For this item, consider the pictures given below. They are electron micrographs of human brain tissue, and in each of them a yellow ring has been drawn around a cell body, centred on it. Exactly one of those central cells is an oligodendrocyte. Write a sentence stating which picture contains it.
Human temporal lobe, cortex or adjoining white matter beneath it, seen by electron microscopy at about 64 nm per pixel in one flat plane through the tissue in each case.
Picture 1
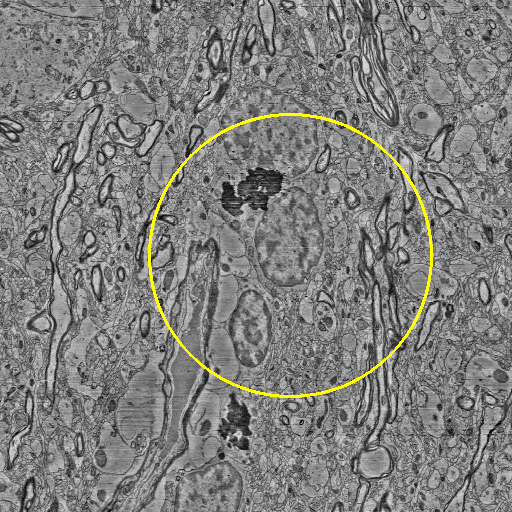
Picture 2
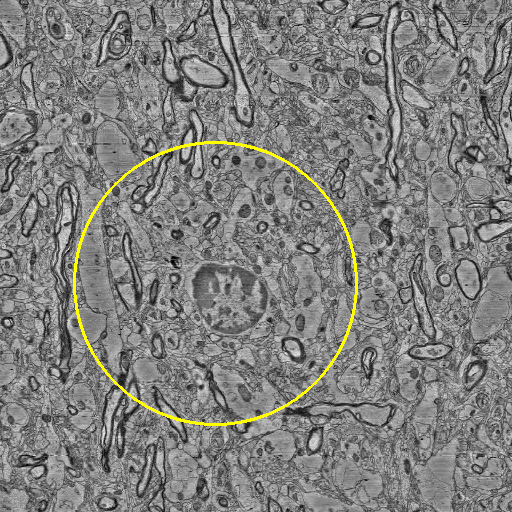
It is in Picture 1.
